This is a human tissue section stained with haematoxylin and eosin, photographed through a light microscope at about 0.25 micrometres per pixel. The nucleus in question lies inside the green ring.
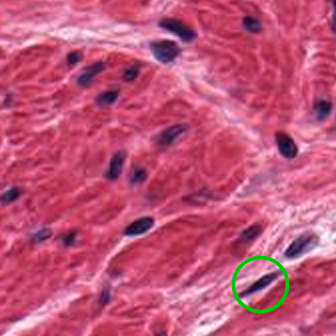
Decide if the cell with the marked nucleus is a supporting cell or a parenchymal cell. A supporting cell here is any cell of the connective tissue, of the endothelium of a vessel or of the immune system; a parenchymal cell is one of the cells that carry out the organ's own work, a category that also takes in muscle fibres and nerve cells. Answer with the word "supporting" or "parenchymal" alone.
supporting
